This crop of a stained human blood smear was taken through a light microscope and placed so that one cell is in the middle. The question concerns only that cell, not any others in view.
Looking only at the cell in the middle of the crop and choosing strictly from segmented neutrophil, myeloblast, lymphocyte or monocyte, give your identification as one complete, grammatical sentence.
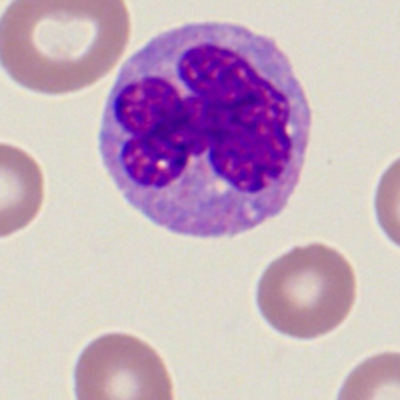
For this crop, the cell in the middle is a monocyte.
